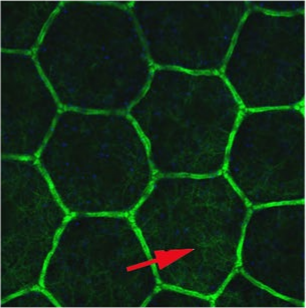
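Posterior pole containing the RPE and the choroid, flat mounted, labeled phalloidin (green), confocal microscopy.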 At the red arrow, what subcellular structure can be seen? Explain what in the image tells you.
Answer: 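Stress fibers. Thin green filaments run across the interior of the polygonal cells. The red arrow points to these fine strands inside a cell, away from the bright borders.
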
